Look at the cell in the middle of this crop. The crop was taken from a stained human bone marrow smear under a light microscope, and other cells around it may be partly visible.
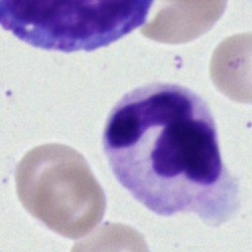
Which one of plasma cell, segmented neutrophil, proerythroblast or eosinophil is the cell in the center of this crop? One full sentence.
Framed in the middle of the crop is a segmented neutrophil.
